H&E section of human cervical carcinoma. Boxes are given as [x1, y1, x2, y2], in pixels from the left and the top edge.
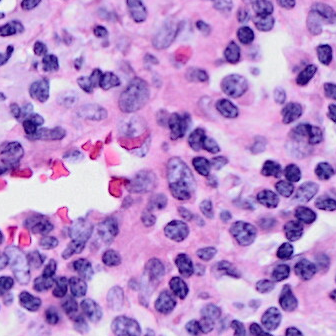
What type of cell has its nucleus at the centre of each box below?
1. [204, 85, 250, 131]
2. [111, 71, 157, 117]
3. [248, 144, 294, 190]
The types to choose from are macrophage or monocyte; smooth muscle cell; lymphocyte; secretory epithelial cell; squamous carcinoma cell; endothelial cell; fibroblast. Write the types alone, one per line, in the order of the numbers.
lymphocyte
endothelial cell
lymphocyte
